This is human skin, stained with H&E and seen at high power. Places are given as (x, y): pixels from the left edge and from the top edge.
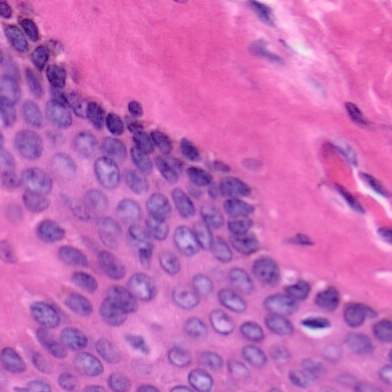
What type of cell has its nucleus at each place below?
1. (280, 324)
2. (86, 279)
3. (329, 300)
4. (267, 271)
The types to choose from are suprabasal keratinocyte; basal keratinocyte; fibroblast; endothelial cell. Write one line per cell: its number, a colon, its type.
1: suprabasal keratinocyte
2: basal keratinocyte
3: basal keratinocyte
4: basal keratinocyte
